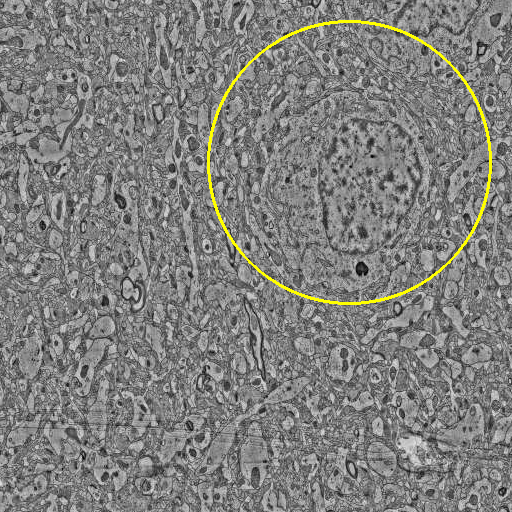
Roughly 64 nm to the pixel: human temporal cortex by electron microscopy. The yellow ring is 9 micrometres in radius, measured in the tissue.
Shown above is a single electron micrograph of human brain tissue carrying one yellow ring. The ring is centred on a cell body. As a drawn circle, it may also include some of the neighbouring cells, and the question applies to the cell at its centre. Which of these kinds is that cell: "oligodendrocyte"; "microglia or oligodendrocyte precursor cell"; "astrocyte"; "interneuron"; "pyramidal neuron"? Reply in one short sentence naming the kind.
The cell marked by the ring is an interneuron.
